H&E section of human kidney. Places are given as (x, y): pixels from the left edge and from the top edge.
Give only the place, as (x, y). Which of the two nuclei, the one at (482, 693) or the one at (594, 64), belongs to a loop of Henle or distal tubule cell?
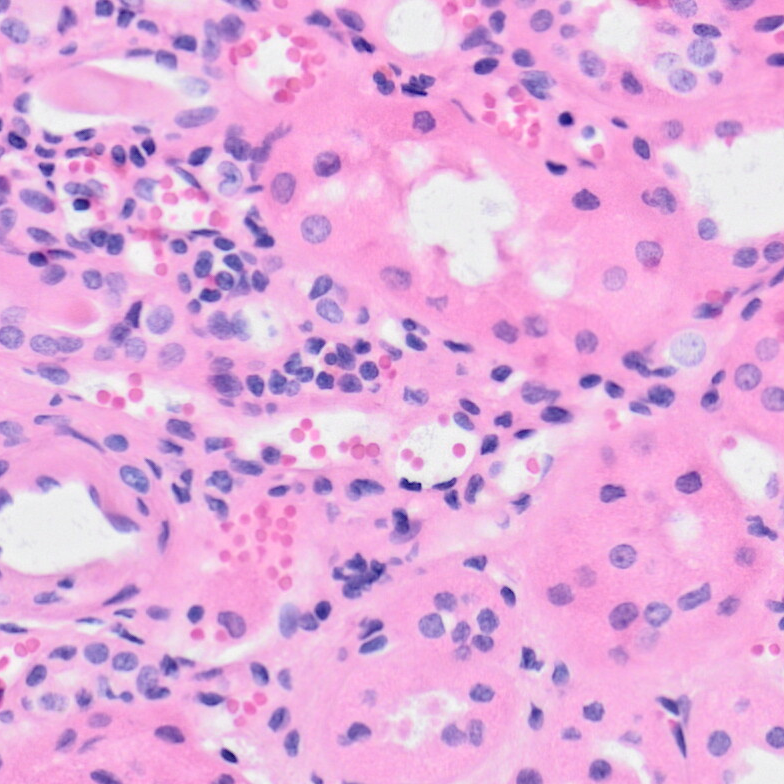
(482, 693)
